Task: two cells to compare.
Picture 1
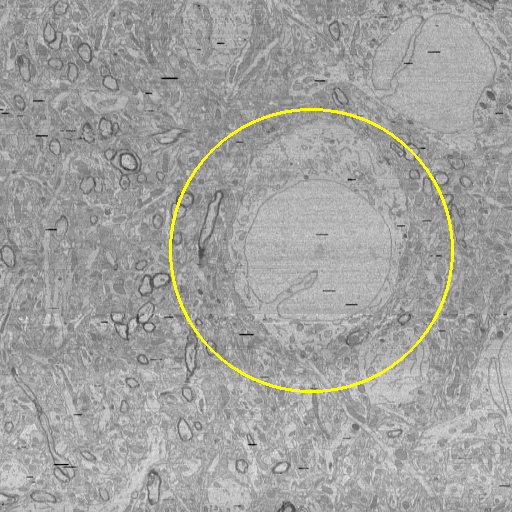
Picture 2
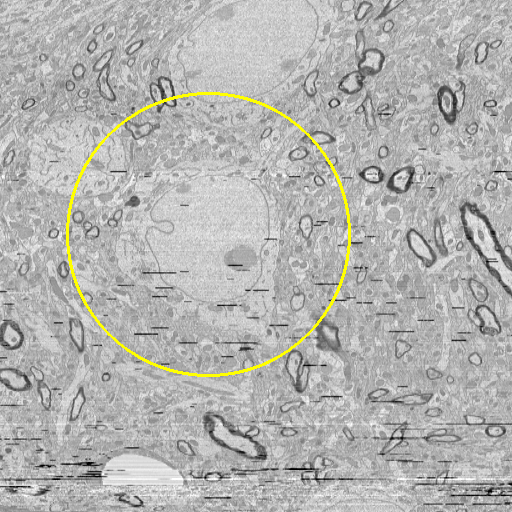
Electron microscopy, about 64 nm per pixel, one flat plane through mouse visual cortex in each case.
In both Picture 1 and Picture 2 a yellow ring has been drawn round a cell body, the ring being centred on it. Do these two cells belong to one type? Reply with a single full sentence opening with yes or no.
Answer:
Yes, the two cells at the ring centres in Picture 1 and Picture 2 share one type.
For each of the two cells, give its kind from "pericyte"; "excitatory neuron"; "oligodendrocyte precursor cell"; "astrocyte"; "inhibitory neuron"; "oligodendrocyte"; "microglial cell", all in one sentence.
Each of the two rings surrounds an excitatory neuron.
